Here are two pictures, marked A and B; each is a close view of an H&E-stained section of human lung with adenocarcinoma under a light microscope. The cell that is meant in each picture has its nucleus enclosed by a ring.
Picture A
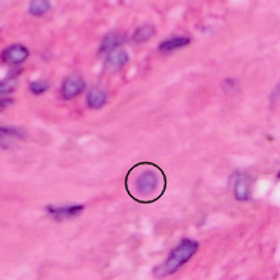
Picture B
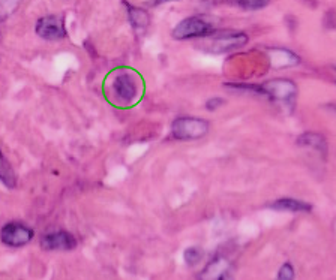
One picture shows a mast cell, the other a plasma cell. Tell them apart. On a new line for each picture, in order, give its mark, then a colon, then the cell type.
A: mast cell
B: plasma cell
